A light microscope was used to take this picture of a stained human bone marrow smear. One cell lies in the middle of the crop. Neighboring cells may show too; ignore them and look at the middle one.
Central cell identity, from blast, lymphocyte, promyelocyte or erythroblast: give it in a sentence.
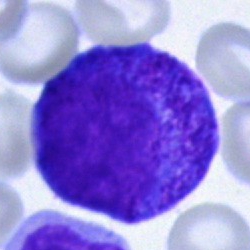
Answering briefly, the cell in the middle is a promyelocyte.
